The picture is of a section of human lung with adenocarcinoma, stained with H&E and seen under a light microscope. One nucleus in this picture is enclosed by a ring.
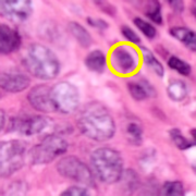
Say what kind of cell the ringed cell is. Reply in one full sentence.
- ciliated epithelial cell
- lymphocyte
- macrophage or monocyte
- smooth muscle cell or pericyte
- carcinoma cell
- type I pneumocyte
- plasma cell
Microscopically, the ringed cell is categorized as a plasma cell.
